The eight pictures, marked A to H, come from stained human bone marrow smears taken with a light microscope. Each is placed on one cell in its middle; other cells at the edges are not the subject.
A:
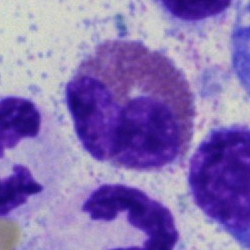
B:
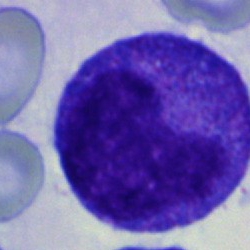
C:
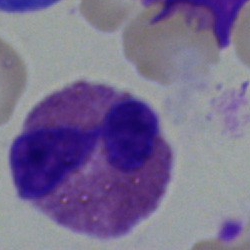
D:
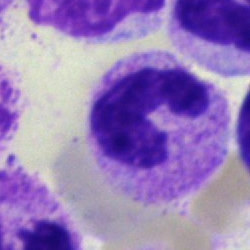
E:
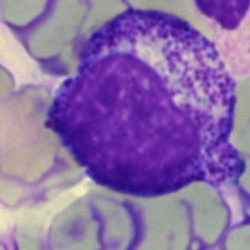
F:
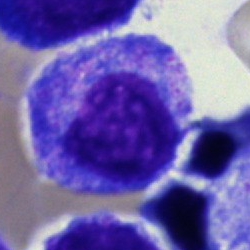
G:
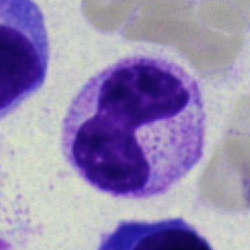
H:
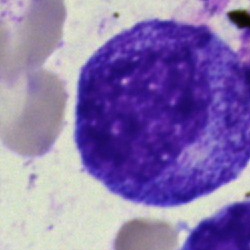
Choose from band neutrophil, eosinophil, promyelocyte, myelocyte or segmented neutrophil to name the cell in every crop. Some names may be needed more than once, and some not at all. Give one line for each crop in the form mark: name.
A: eosinophil
B: promyelocyte
C: eosinophil
D: band neutrophil
E: promyelocyte
F: promyelocyte
G: band neutrophil
H: promyelocyte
